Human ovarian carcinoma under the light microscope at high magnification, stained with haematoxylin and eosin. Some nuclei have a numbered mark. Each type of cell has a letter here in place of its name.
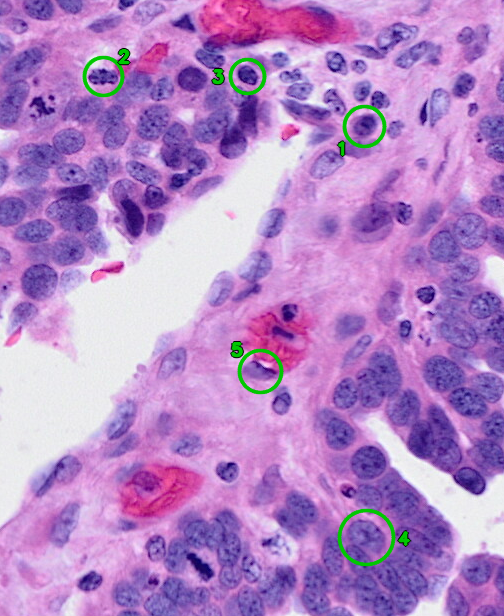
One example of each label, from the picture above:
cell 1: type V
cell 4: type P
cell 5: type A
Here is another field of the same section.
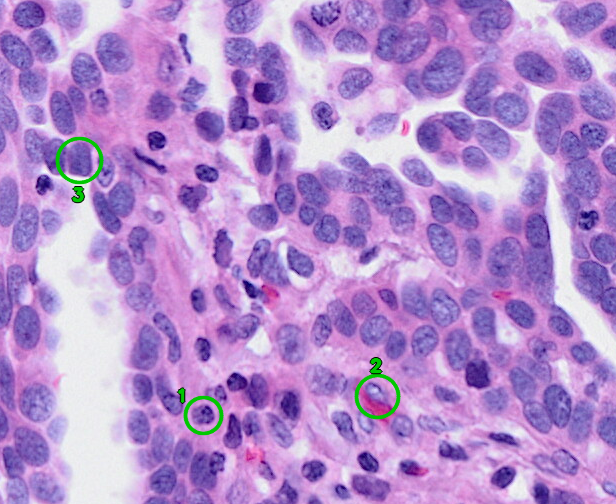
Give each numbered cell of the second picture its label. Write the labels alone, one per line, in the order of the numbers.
type V
type A
type P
